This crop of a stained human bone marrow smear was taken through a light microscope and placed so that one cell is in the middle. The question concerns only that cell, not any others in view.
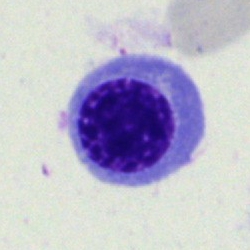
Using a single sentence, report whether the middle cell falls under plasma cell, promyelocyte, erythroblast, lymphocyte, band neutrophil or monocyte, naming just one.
Regarding the central cell, it is an erythroblast.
